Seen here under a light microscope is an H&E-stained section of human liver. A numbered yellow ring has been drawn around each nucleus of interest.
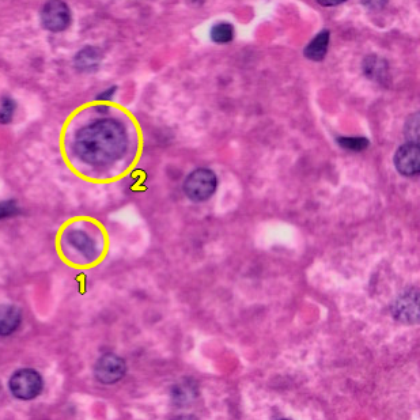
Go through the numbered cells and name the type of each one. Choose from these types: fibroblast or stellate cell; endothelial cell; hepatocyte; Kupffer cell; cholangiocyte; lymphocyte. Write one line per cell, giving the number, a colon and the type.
1: Kupffer cell
2: hepatocyte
